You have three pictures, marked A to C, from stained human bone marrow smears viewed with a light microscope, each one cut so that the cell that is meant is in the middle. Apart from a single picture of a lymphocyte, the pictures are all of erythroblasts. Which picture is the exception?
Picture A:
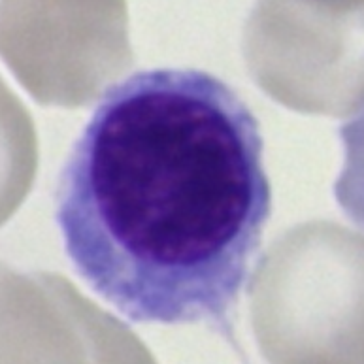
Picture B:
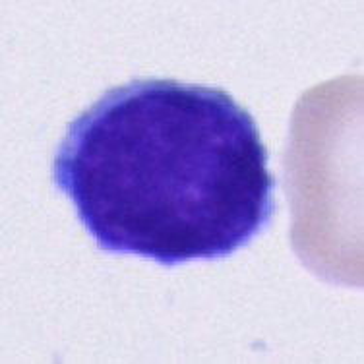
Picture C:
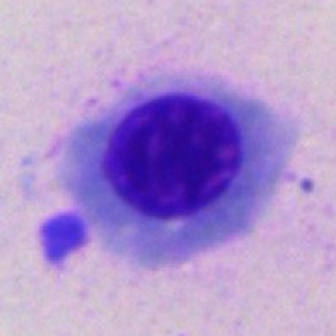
B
